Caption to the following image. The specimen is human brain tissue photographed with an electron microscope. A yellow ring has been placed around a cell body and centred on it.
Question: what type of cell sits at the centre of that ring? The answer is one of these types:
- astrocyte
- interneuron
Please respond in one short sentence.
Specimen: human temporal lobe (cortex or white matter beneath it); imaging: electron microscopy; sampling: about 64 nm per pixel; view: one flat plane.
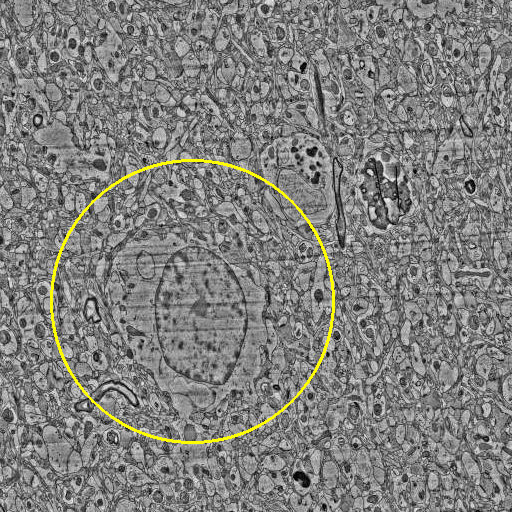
The ring surrounds the cell body of an astrocyte.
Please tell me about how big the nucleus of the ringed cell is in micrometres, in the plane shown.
In this plane the nucleus is roughly 9 by 6 micrometres, clearly longer than it is wide.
